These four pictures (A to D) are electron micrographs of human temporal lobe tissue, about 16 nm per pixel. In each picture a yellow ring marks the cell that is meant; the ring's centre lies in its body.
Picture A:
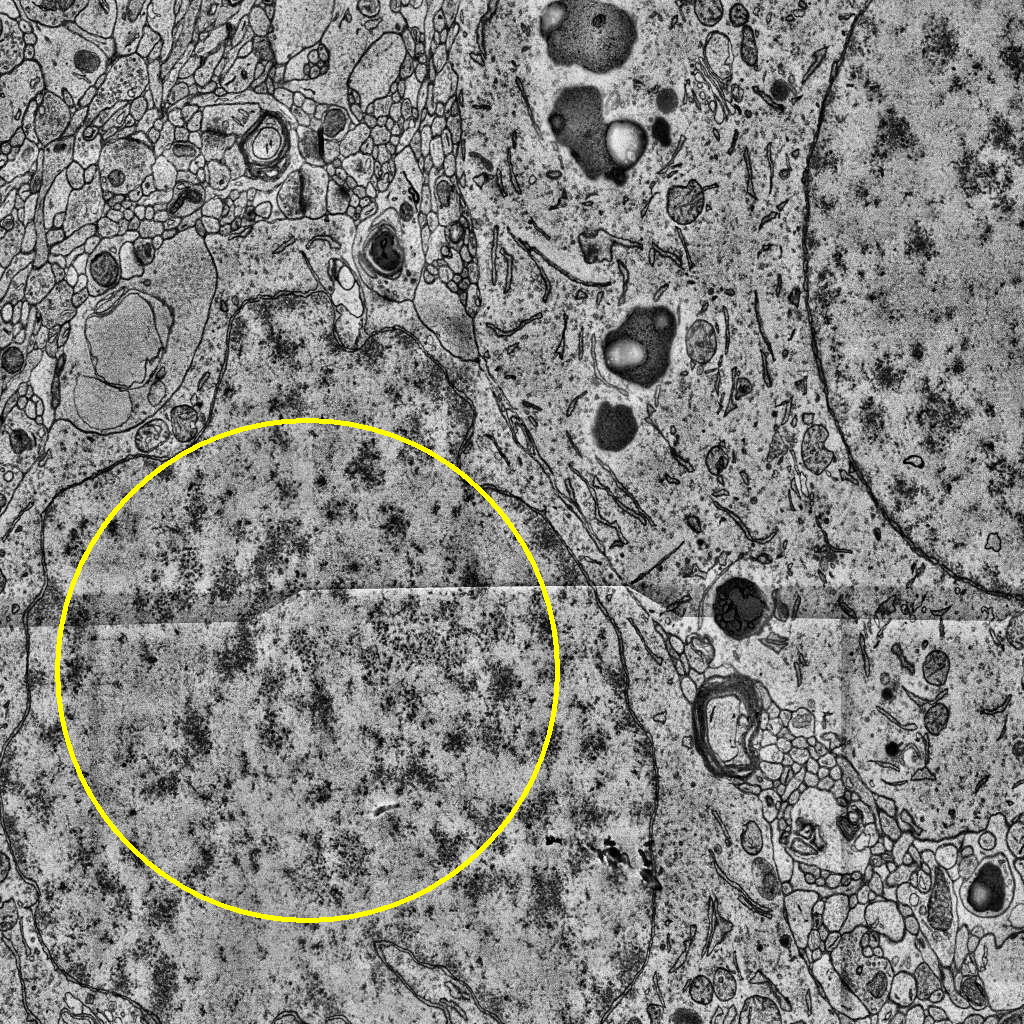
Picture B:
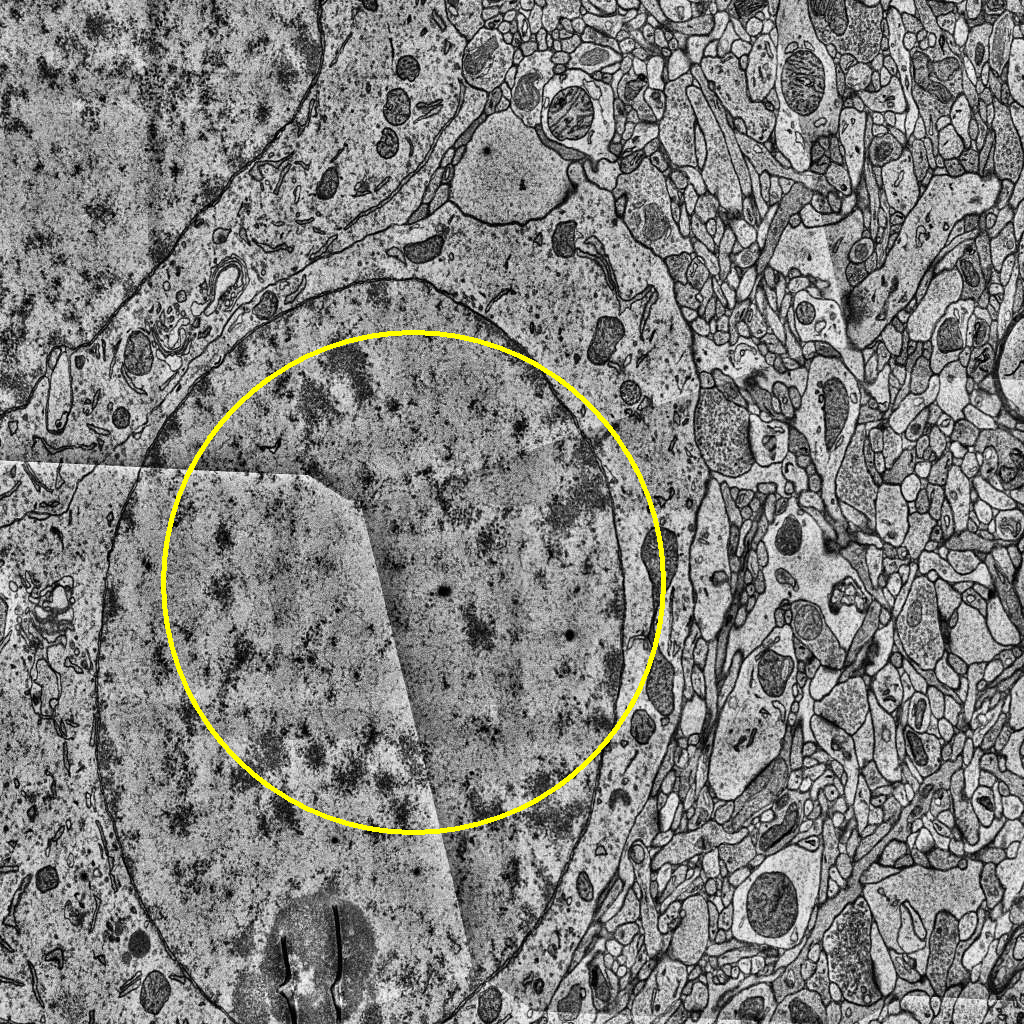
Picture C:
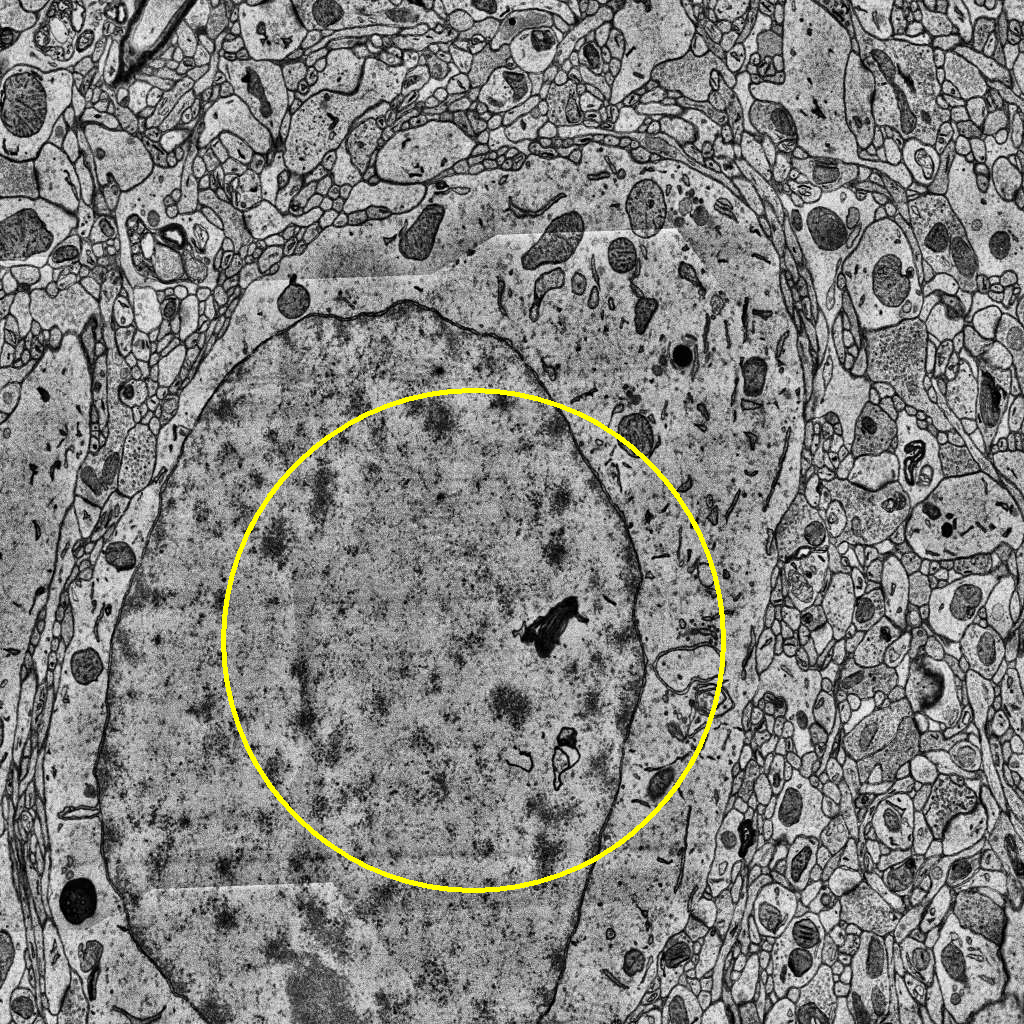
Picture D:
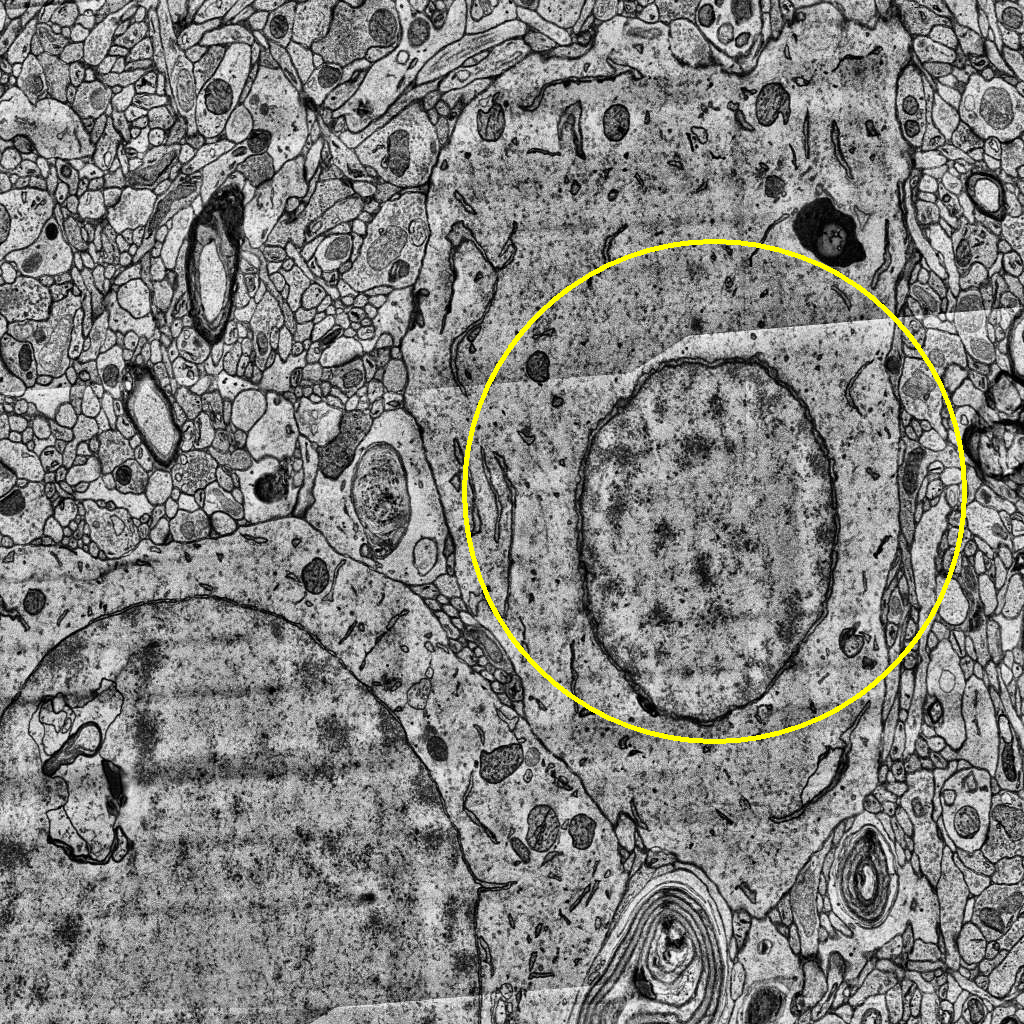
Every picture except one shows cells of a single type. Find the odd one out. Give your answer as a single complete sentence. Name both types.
Picture A differs, because its cell is an interneuron and the rest are pyramidal neurons.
